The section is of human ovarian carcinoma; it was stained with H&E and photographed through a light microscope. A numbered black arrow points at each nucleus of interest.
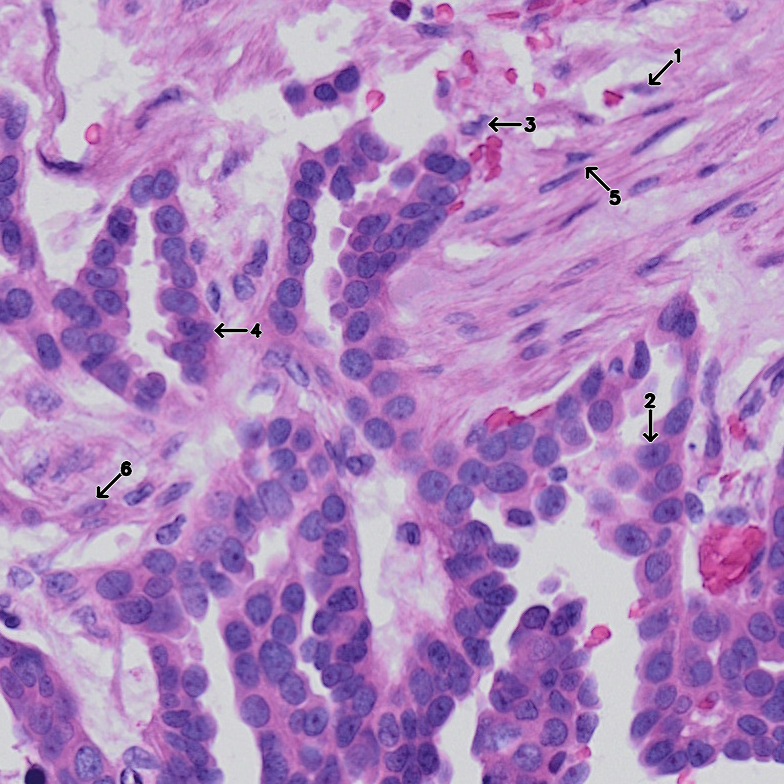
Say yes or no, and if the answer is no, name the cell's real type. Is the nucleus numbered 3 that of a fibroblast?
Yes.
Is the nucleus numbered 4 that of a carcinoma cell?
Yes.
